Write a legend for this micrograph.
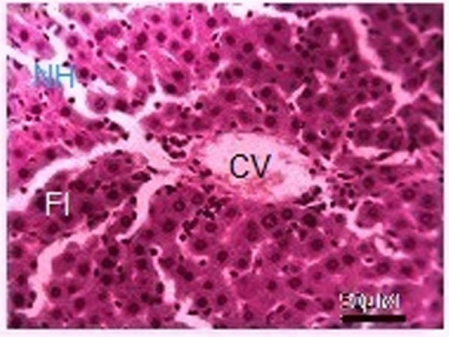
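This section of liver again centres on a central vein, seen as an oval pale space with some pink content, but the surrounding hepatocytes look quite different from a tidy lobule. The cytoplasm of the liver cells stains a deeper, denser pink-purple, and many small, dark nuclei crowd around the vein. Wide, pale, branching clefts cut through the tissue, especially to the left of the vein, breaking the hepatocyte cords into irregular islands. Some hepatocytes toward the upper left look altered, with less distinct outlines. These clear spaces and the disturbed arrangement of cells are the features to notice compared with healthy liver.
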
